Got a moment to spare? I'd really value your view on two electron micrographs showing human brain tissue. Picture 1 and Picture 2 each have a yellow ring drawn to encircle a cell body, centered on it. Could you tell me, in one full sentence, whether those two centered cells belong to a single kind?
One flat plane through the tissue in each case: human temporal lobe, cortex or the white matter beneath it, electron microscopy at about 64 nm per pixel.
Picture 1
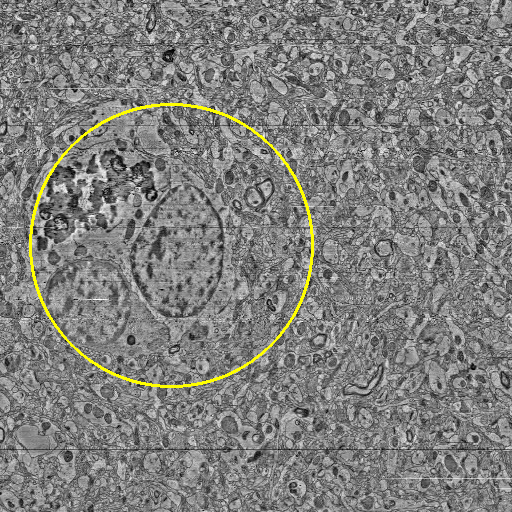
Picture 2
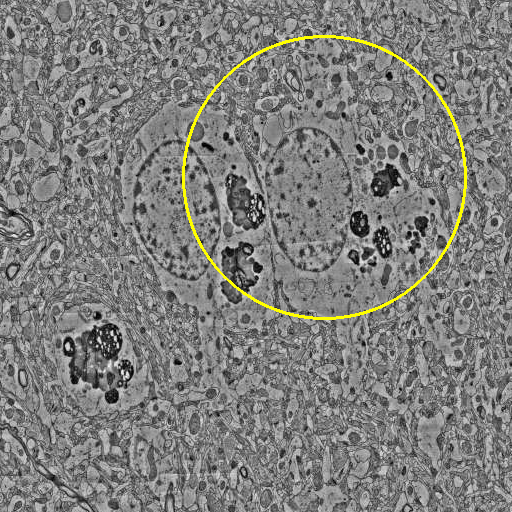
Yes, the two centered cells in Picture 1 and Picture 2 are of a single kind.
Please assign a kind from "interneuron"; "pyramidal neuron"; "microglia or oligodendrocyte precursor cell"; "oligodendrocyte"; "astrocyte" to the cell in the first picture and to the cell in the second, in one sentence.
The ring centre holds an astrocyte in each of the two pictures.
